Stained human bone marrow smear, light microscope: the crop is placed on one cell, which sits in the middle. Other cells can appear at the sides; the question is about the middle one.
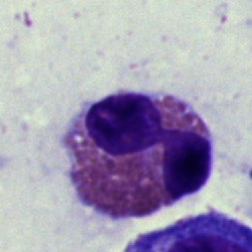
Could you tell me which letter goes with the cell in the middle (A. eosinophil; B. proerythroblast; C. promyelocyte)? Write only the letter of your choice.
A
